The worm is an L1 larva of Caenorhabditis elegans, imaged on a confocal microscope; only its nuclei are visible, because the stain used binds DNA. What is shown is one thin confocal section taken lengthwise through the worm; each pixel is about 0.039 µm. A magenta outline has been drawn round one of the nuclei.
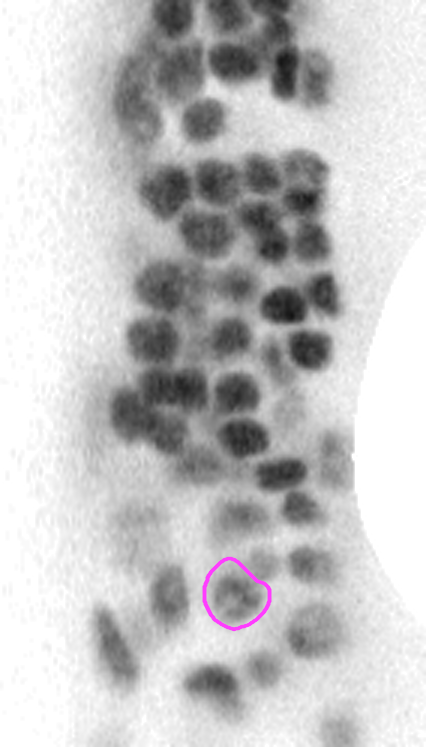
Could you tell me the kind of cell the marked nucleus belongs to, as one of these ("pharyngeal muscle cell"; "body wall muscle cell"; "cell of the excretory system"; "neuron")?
pharyngeal muscle cell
